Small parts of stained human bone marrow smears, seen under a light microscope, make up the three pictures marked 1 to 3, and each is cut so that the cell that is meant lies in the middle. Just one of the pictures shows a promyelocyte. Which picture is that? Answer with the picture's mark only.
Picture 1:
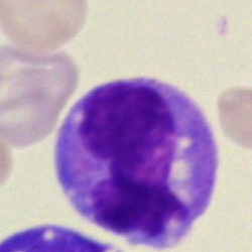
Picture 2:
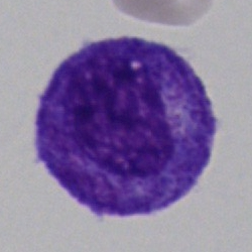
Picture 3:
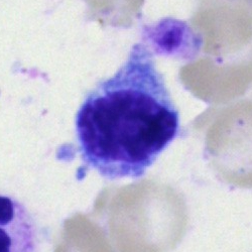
2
